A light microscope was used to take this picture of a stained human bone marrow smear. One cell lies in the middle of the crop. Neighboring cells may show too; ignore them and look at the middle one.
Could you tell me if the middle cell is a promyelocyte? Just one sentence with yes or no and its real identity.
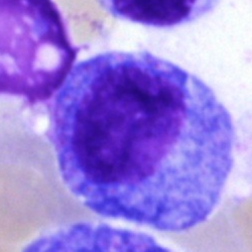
Yes, the identity of the central cell is that of a promyelocyte.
